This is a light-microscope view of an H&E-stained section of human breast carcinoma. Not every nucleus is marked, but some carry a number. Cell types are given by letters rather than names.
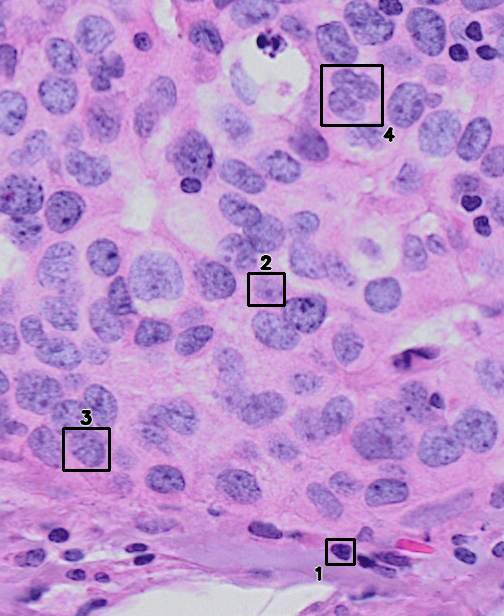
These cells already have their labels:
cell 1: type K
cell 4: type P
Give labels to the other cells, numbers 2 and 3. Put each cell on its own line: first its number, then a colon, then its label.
2: type P
3: type P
